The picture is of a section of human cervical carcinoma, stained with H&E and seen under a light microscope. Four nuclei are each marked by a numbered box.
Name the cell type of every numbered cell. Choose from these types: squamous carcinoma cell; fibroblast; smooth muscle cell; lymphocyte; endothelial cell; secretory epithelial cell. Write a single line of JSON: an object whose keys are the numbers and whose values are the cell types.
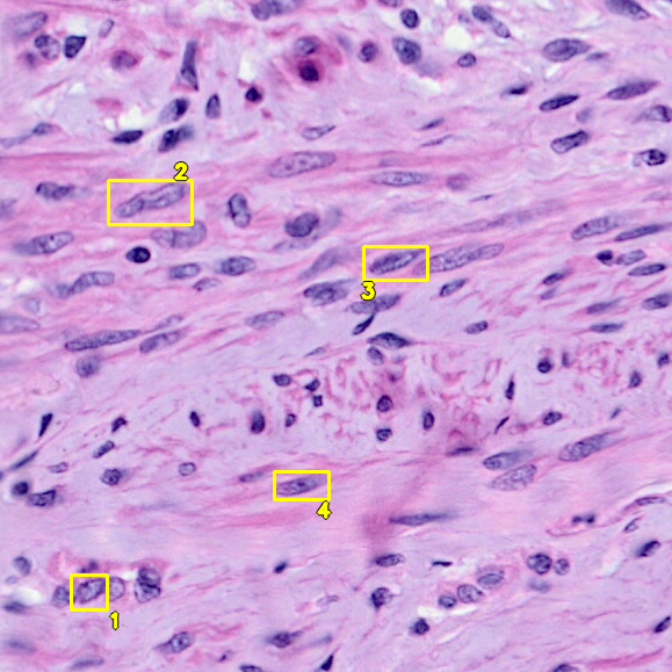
{"1": "endothelial cell", "2": "smooth muscle cell", "3": "smooth muscle cell", "4": "smooth muscle cell"}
